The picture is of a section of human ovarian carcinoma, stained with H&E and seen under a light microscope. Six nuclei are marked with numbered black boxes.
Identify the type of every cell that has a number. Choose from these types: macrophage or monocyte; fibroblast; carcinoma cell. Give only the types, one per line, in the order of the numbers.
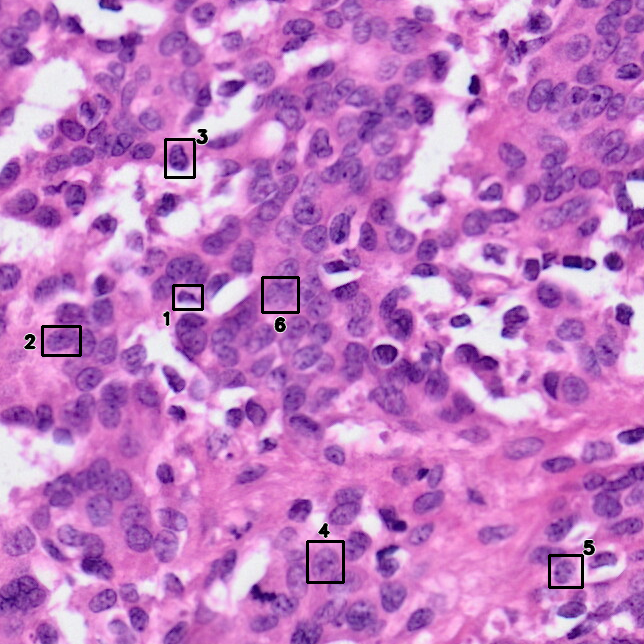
carcinoma cell
carcinoma cell
macrophage or monocyte
carcinoma cell
macrophage or monocyte
carcinoma cell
